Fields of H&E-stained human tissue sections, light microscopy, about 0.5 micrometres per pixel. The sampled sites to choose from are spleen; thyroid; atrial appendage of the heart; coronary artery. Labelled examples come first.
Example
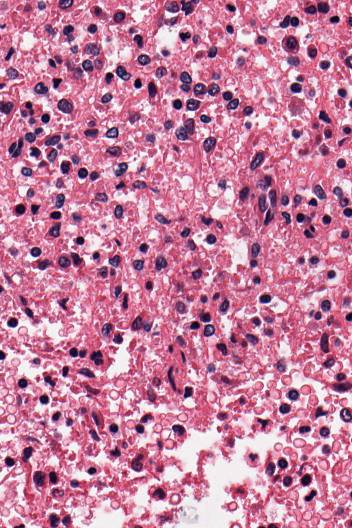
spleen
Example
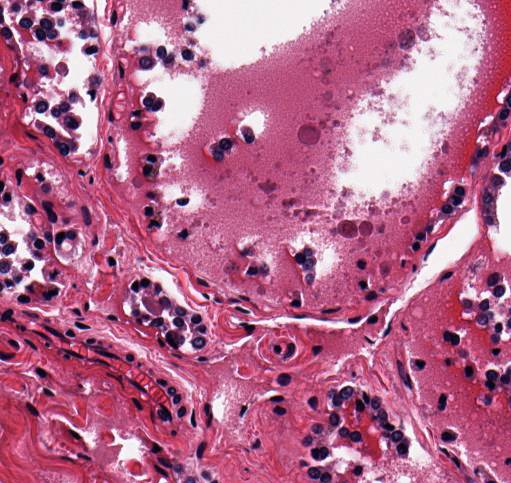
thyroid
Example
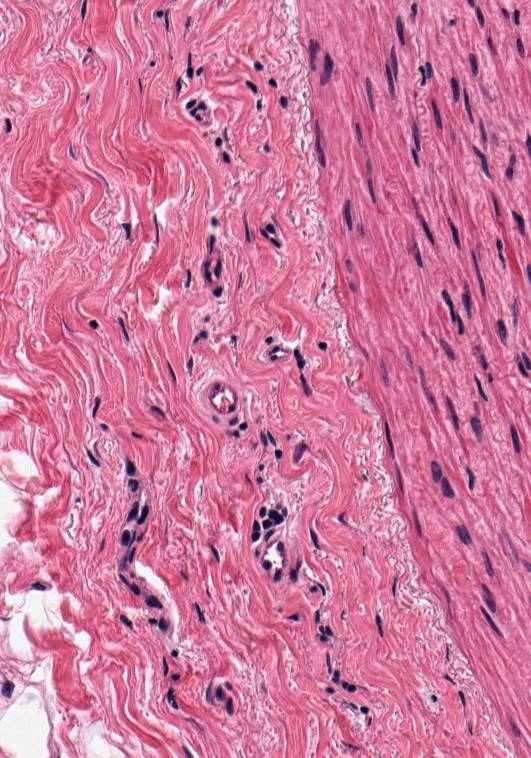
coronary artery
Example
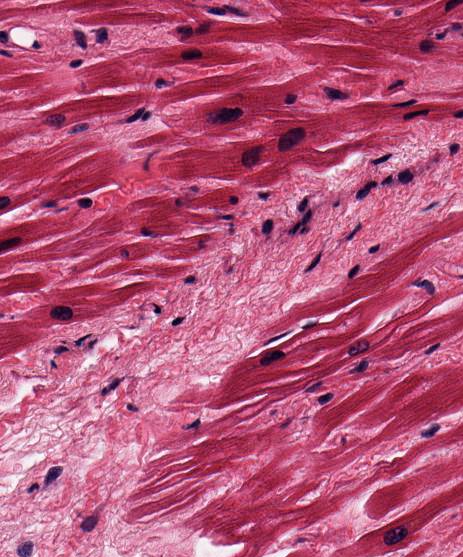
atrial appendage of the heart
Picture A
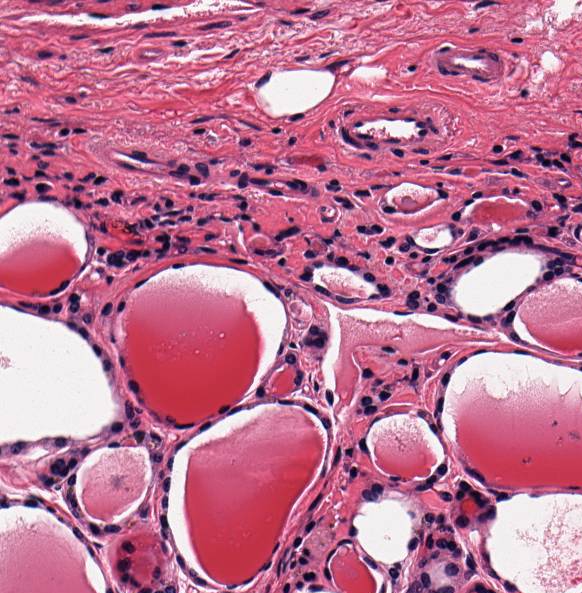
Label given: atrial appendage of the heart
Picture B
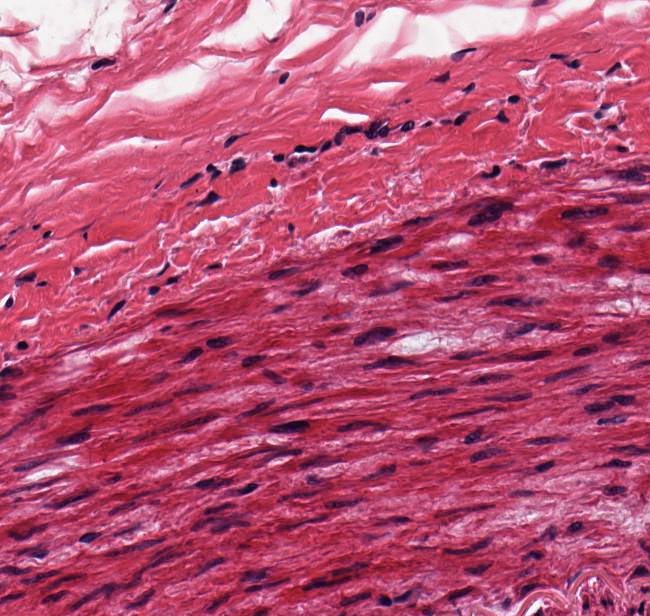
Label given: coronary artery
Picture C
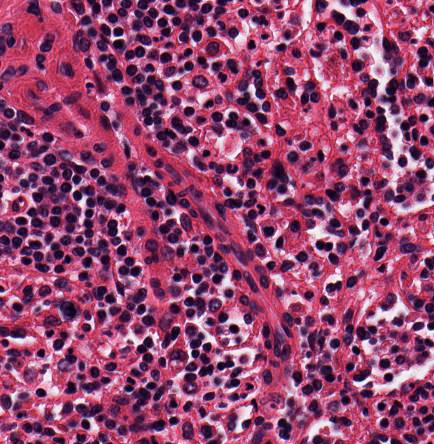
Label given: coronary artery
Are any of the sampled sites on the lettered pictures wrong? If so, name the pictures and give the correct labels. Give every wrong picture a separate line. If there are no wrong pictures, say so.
Wrong: A (atrial appendage of the heart); correct: thyroid
Wrong: C (coronary artery); correct: spleen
